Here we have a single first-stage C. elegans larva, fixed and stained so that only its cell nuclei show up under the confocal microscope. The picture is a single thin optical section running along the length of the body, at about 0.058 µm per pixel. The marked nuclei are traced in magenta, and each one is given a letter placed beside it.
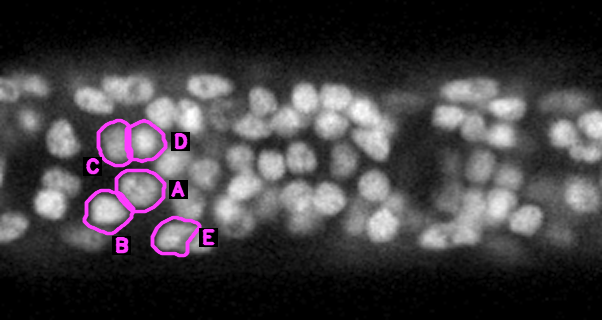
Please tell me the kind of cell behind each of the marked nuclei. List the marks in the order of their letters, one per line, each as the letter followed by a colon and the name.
A: pharyngeal gland cell
B: neuron
C: pharyngeal muscle cell
D: neuron
E: body wall muscle cell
